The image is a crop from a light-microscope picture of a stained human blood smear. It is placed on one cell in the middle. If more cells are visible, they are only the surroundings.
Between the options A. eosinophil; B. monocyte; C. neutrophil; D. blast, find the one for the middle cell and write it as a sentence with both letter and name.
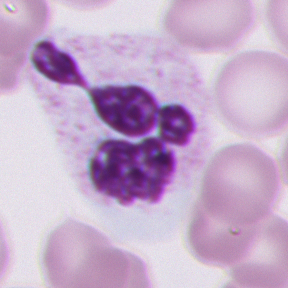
The cell shown centrally is a neutrophil; option C is the correct option.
